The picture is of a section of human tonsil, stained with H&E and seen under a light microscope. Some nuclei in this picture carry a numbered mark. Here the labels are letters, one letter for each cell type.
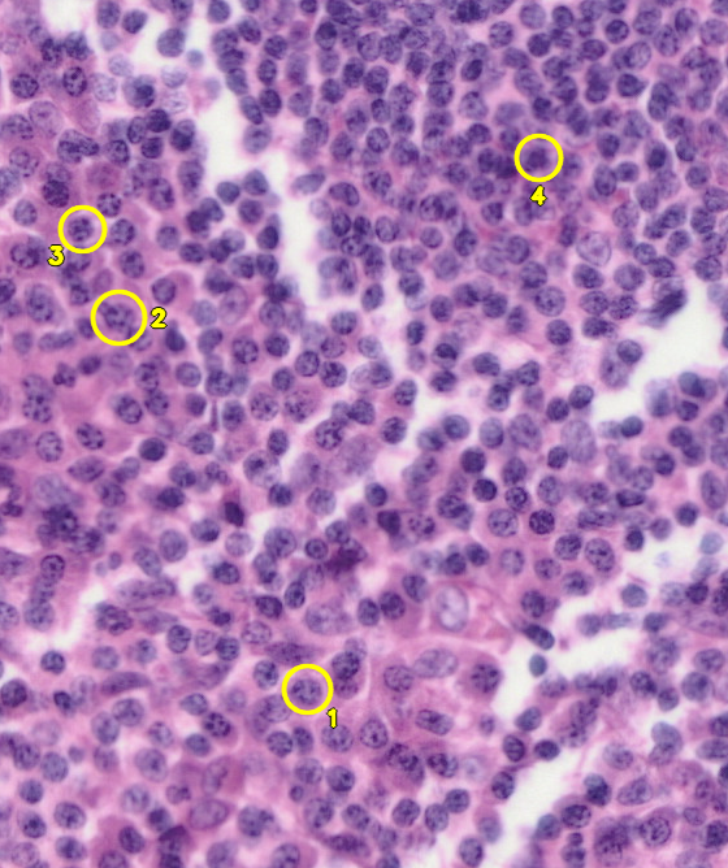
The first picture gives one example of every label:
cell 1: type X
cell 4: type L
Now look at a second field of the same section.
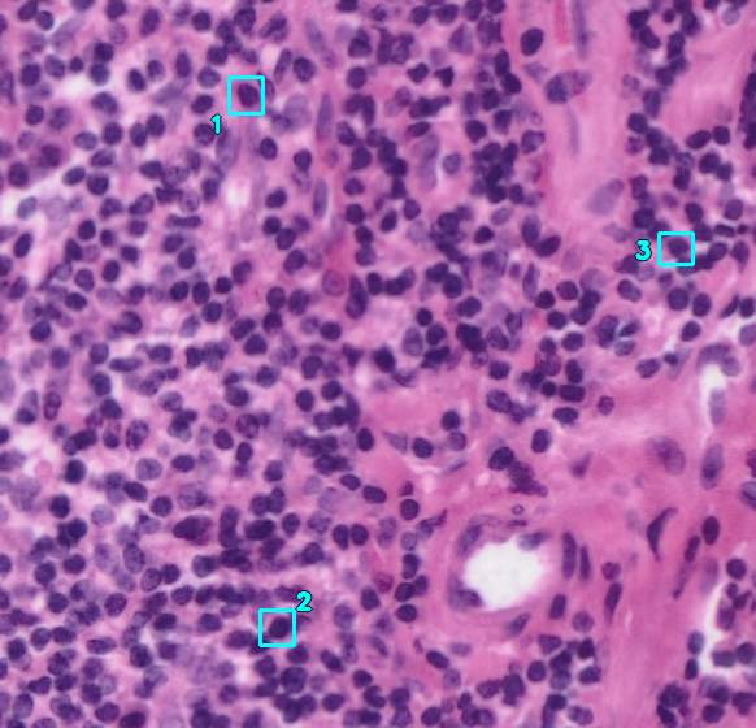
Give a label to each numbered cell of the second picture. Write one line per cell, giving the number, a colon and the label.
1: type X
2: type L
3: type L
